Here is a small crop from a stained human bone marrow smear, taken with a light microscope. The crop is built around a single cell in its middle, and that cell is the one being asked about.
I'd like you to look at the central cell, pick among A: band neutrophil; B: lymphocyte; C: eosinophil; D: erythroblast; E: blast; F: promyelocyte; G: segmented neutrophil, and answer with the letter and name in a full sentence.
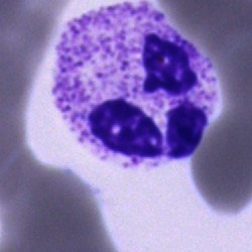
Option G is the correct option, with the middle cell being a segmented neutrophil.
